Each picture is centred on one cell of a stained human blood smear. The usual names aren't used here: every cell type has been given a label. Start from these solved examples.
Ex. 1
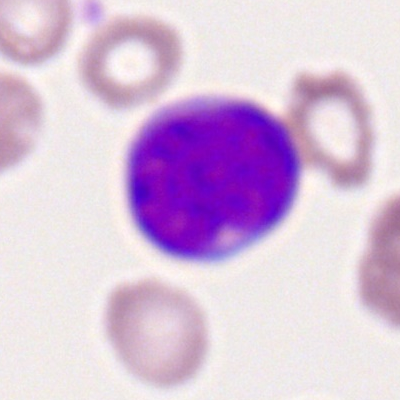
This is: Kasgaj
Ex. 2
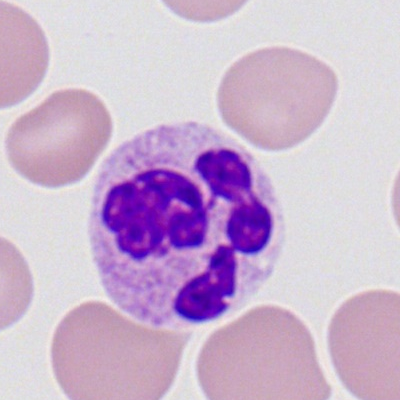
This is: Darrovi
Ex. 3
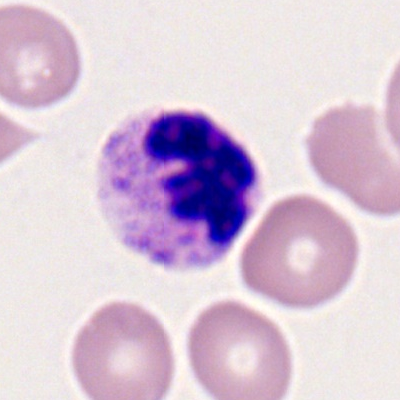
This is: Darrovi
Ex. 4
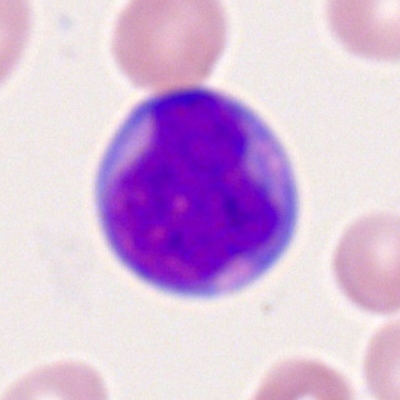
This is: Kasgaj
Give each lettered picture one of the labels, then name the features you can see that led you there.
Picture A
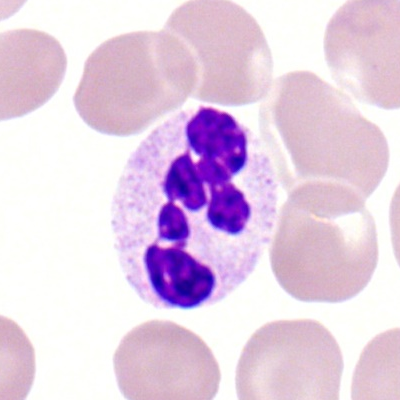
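Darrovi: The cytoplasm is plentiful and pale pinkish-lilac.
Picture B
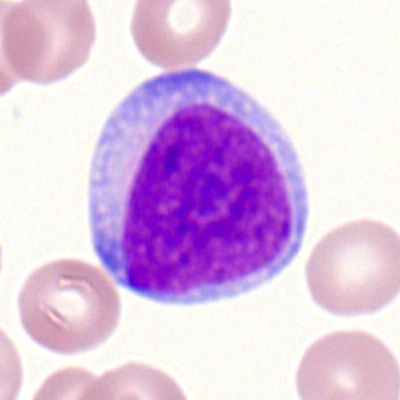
Kasgaj: The cytoplasm is blue and forms a rim widest on the left side.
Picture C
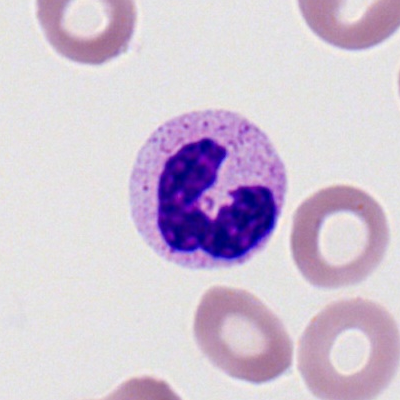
Darrovi: The cytoplasm is abundant and pale pink.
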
